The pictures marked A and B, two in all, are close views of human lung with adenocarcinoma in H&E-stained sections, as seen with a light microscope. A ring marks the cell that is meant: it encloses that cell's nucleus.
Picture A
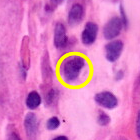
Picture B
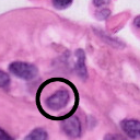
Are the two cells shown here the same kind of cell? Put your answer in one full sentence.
No. Picture A shows a plasma cell, but picture B shows a lymphocyte.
